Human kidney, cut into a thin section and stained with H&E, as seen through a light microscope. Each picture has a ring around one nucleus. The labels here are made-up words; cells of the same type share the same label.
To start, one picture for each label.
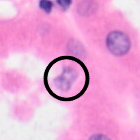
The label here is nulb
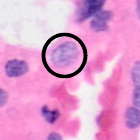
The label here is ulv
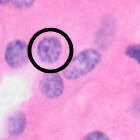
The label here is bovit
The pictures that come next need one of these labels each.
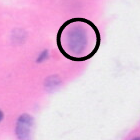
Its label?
ulv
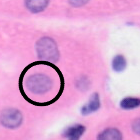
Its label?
nulb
